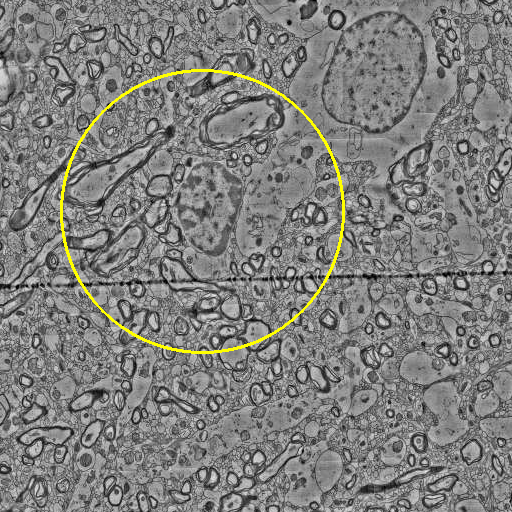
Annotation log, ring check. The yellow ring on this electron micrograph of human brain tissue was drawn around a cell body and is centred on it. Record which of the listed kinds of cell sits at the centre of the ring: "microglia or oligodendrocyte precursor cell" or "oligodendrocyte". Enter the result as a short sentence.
The cell at the centre of the ring is a microglial cell or oligodendrocyte precursor cell.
